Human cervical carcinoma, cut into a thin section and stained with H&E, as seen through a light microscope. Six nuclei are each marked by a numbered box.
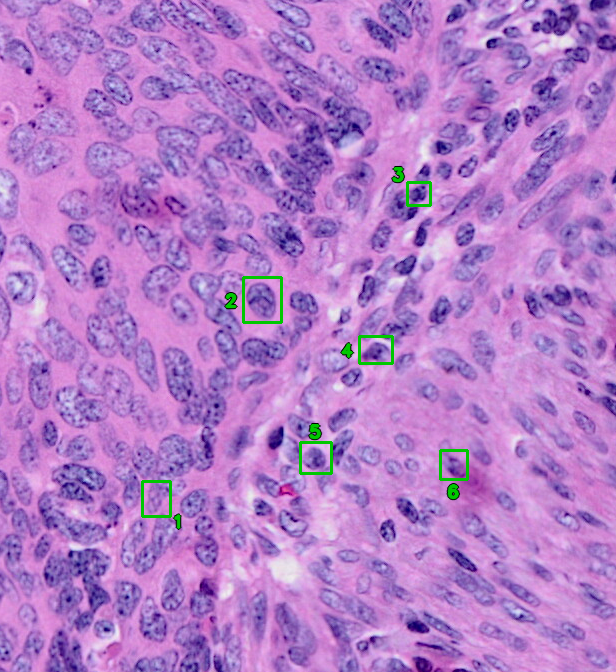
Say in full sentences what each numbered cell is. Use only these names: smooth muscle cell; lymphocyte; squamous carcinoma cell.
Cell 1 is a squamous carcinoma cell, cell 2 is a squamous carcinoma cell, cell 3 is a lymphocyte, cell 4 is a lymphocyte, cell 5 is a lymphocyte and cell 6 is a smooth muscle cell.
